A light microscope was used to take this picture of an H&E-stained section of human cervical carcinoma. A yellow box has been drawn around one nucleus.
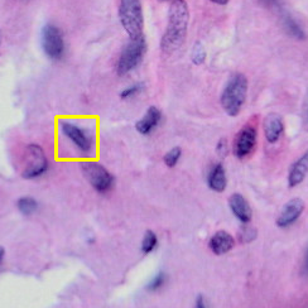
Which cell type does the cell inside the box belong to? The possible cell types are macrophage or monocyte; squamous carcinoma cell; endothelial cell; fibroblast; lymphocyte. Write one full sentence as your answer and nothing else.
In this tissue sample, the cell inside the box is a fibroblast.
